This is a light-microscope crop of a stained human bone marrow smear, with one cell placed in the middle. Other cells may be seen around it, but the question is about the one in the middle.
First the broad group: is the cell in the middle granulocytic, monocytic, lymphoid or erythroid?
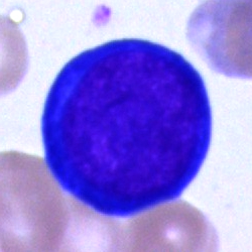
erythroid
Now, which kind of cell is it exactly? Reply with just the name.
proerythroblast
